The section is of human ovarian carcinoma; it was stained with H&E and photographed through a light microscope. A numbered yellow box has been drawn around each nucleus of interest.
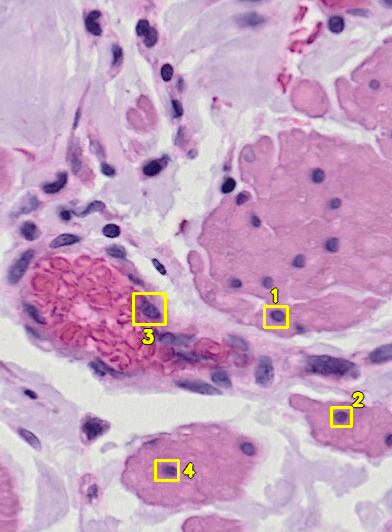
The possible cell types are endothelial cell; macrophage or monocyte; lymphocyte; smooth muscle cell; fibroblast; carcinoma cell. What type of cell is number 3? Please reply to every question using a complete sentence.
Looking at the numbered marks, cell 3 is an endothelial cell.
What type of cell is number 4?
The cell pointed out by number 4 is a smooth muscle cell.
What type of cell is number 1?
The cell indicated with the number 1 is classed as a smooth muscle cell.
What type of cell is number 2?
Cell 2, among those numbered, is a smooth muscle cell.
